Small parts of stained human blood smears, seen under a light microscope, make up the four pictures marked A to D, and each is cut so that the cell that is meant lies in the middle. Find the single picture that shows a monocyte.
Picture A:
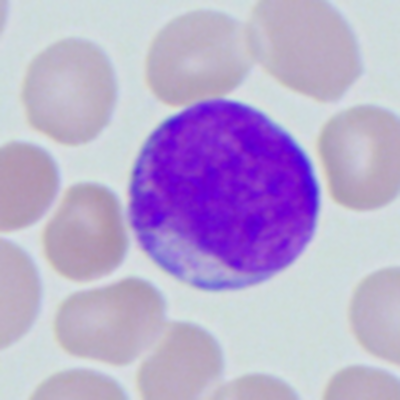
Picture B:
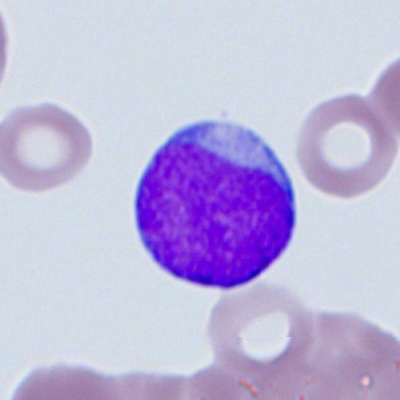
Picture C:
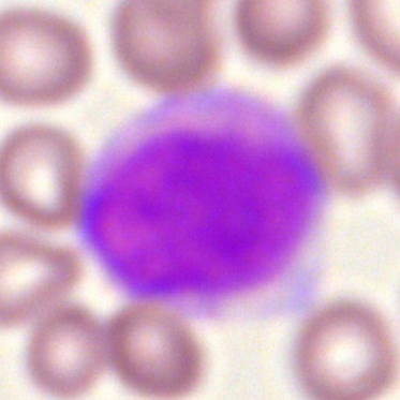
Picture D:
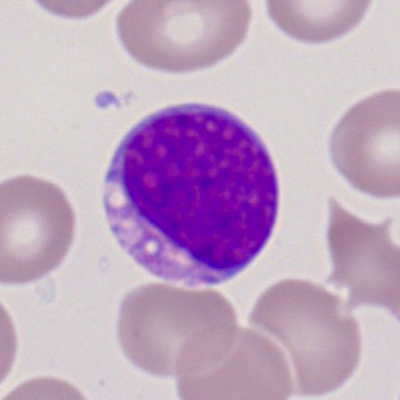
C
